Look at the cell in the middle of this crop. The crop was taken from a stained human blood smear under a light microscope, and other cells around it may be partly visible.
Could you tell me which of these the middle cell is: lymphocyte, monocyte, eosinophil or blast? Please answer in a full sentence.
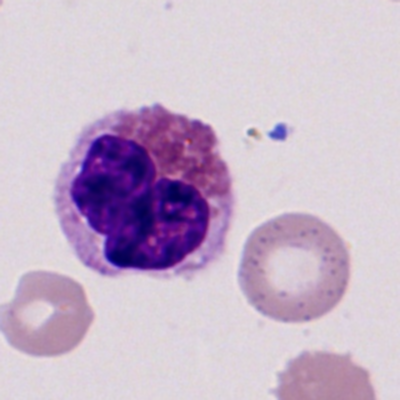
The single cell at the center of the crop is an eosinophil.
